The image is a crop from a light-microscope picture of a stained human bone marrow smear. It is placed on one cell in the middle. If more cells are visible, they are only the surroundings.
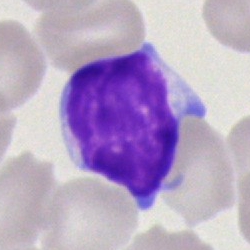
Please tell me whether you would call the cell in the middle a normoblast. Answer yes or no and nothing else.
no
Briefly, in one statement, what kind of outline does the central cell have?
An uneven margin is present, with either ragged stretches or outward projections.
